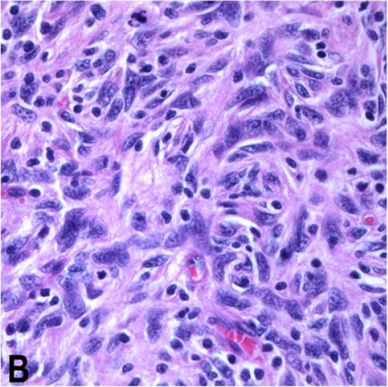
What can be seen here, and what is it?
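Tumor cells with pink eosinophilic cytoplasm and ovoid to spindled nuclei are shown at high magnification. Small lymphocytes with round, dense dark nuclei are interspersed among the tumor cells, and a few red blood cells lie in the field.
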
